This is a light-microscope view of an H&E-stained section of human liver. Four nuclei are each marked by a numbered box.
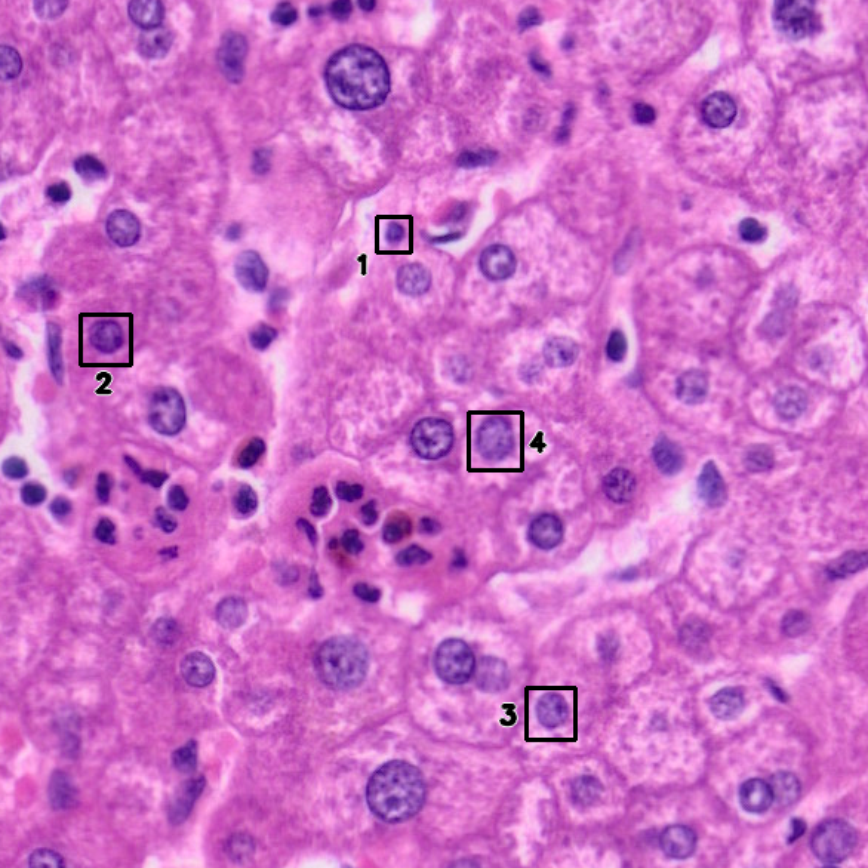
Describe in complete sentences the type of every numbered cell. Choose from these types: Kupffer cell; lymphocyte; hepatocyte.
Cell 1 is a lymphocyte. Cells 2, 3 and 4 are hepatocytes.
